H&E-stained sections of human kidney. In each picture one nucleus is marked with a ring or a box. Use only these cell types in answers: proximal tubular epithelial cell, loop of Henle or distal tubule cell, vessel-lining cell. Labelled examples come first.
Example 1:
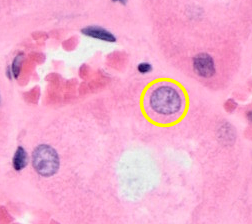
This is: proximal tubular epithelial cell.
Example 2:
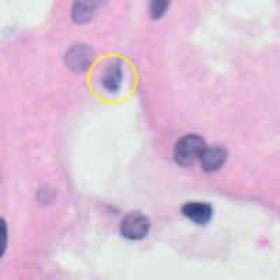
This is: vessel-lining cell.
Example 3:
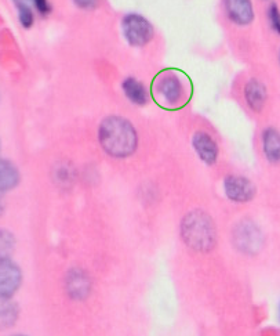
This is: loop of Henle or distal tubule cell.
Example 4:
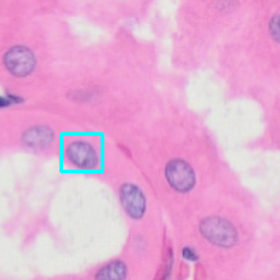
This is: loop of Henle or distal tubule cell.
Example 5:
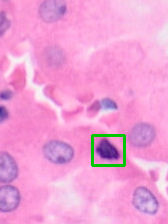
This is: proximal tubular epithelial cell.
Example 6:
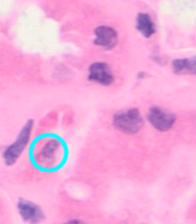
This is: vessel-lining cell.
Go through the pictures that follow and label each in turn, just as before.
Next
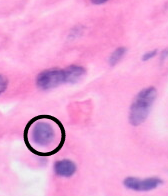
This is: loop of Henle or distal tubule cell.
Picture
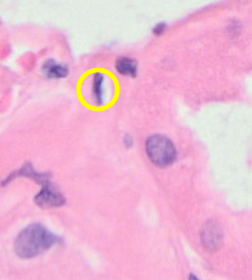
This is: vessel-lining cell.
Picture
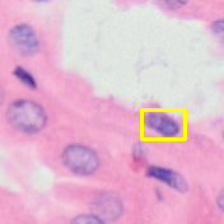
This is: loop of Henle or distal tubule cell.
